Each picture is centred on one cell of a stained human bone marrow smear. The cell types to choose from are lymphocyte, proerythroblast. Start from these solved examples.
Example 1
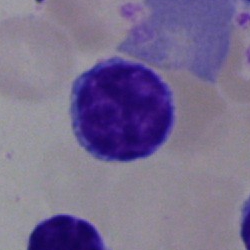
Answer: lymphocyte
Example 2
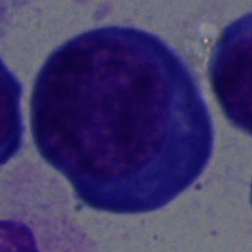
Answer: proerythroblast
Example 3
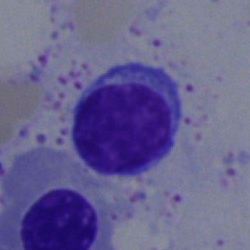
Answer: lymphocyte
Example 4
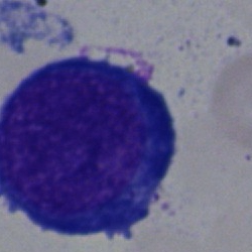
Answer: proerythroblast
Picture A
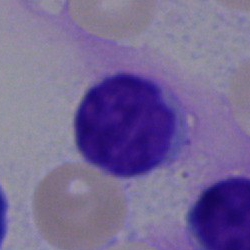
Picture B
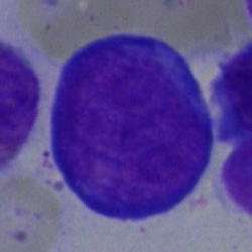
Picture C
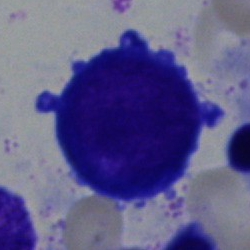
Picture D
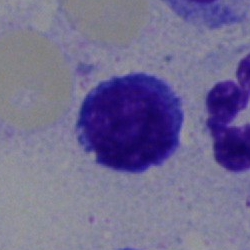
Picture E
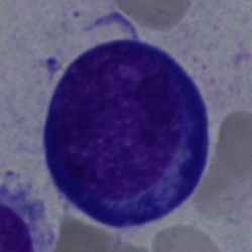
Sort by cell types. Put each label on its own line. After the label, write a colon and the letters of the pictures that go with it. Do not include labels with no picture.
lymphocyte: A, D
proerythroblast: B, C, E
